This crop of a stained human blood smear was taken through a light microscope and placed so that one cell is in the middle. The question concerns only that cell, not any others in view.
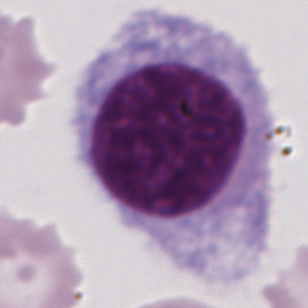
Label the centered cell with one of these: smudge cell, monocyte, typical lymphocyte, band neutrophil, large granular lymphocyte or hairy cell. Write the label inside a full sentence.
The identification for the central cell is a hairy cell.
